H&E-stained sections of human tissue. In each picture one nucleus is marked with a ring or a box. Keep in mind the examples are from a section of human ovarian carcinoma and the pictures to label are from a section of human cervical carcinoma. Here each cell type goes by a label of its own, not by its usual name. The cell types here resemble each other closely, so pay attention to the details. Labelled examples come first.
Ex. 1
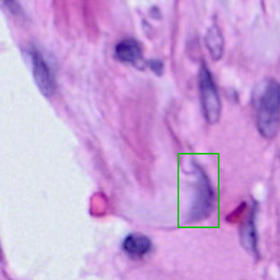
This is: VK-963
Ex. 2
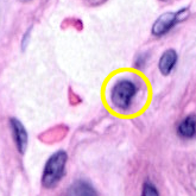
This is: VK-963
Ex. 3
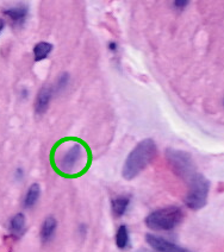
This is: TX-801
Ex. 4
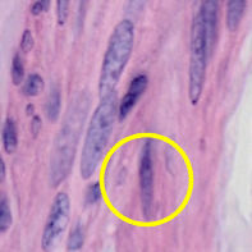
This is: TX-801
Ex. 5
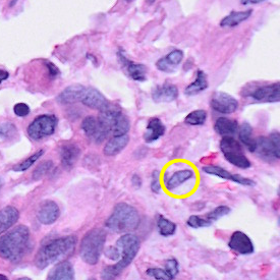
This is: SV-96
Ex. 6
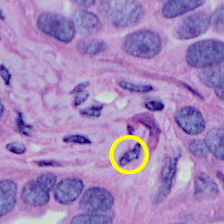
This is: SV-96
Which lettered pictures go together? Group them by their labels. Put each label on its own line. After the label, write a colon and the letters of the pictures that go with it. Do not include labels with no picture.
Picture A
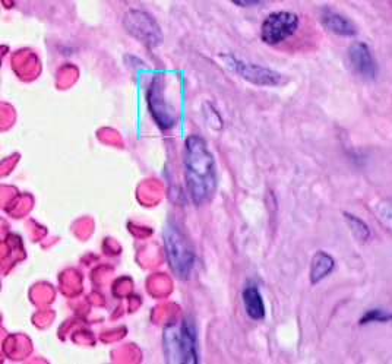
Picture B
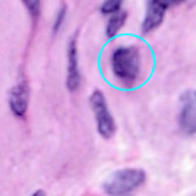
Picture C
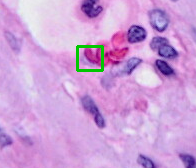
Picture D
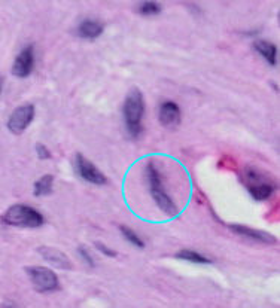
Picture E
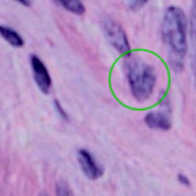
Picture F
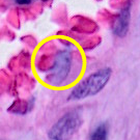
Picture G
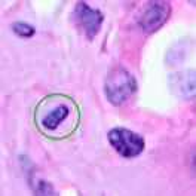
VK-963: A, C, F
TX-801: E
SV-96: B, D, G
